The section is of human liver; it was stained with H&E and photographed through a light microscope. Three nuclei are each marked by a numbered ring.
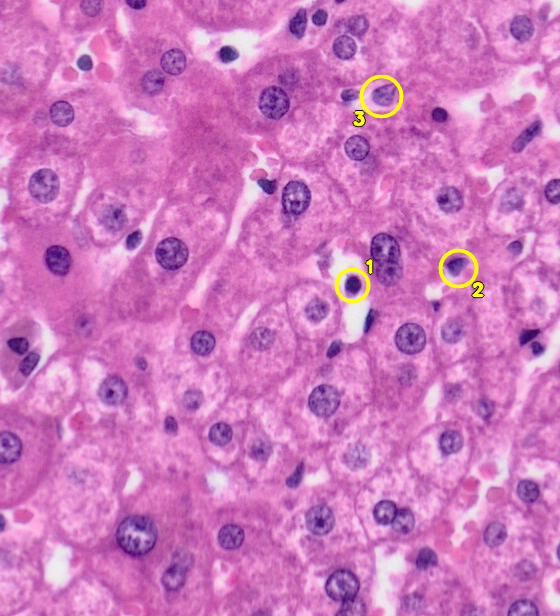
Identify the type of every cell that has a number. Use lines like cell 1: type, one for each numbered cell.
cell 1: lymphocyte
cell 2: endothelial cell
cell 3: Kupffer cell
